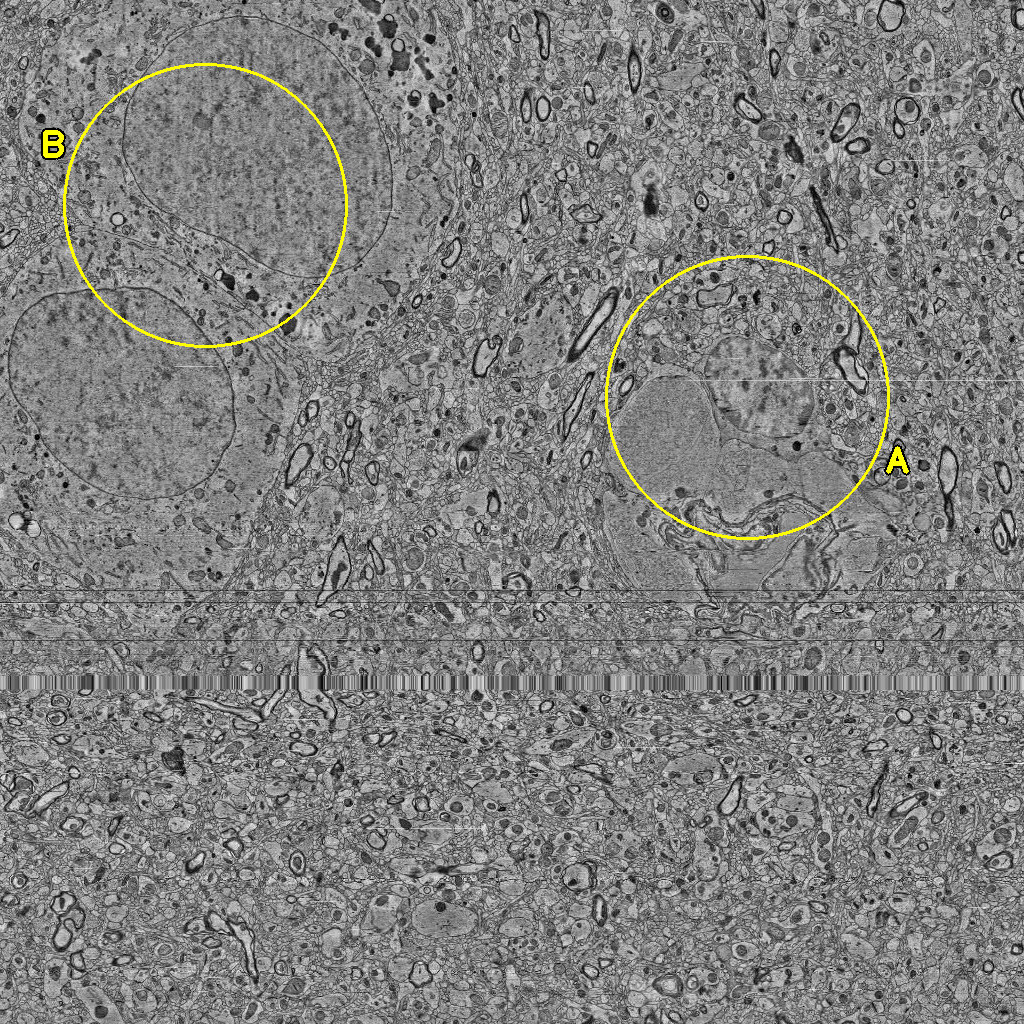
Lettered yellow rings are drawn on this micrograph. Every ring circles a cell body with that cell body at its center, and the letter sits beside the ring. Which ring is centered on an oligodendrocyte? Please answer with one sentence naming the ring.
Ring A has it at its center.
